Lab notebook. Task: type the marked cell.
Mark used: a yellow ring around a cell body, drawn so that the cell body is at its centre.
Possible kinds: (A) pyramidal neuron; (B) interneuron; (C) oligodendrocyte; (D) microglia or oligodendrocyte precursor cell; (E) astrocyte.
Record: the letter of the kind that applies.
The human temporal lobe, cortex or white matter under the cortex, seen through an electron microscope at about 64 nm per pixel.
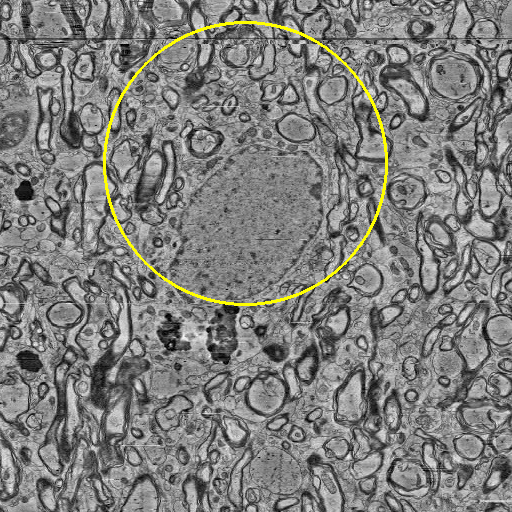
E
